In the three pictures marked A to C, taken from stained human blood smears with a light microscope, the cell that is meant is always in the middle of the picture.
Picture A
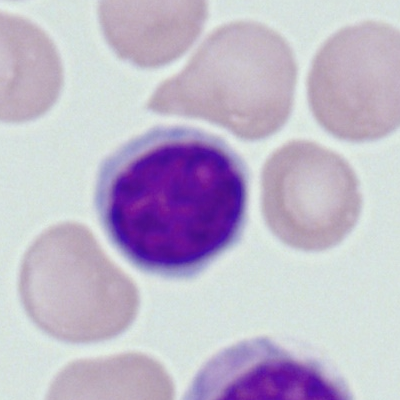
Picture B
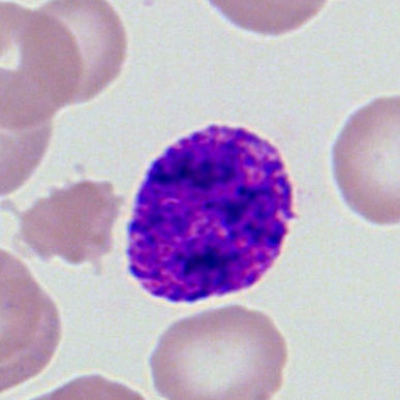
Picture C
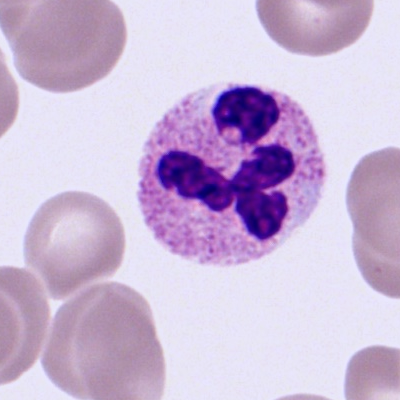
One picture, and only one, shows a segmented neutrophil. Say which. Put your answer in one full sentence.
The segmented neutrophil is the one in picture C.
